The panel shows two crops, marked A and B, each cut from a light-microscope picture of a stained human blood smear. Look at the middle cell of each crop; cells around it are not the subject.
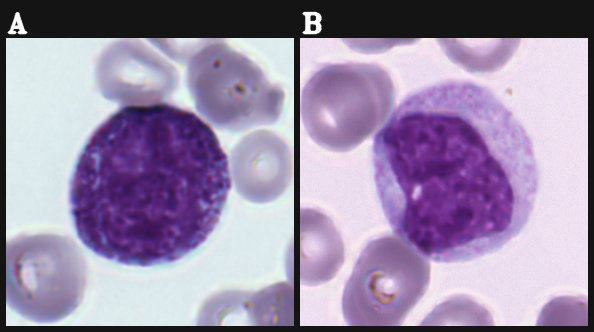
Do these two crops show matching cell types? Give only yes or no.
yes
